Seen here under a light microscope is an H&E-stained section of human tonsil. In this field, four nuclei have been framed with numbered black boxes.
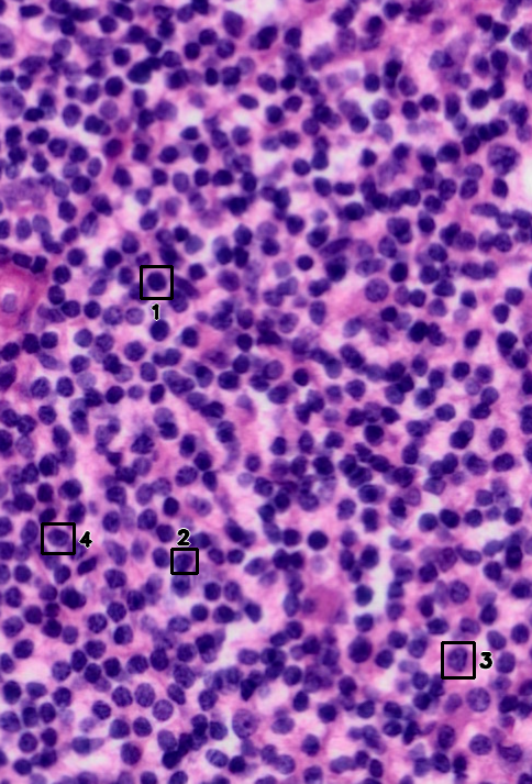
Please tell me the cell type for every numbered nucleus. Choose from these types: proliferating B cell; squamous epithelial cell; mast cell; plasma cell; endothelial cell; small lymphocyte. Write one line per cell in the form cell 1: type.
cell 1: small lymphocyte
cell 2: small lymphocyte
cell 3: plasma cell
cell 4: small lymphocyte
